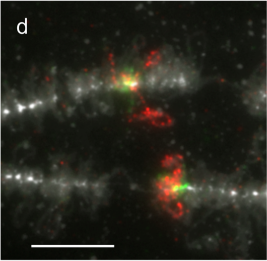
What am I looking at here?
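Two parallel axes of a lampbrush chromosome run across the field, each a row of bright grey beads with a hazy grey halo. At one level on each axis a cluster of red and green label sits on the axis and spreads outward as extended red threads looping away from it.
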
